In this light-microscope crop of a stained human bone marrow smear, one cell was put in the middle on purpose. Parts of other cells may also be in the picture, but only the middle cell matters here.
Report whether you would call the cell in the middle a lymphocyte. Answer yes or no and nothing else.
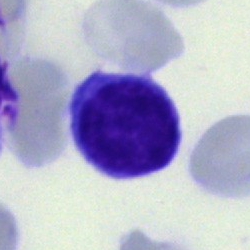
yes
